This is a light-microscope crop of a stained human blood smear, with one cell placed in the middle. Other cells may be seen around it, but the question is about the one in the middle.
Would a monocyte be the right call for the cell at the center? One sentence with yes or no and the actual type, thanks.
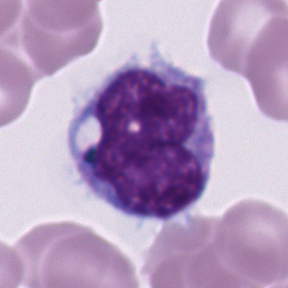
Yes, the cell in the center of this crop is a monocyte.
